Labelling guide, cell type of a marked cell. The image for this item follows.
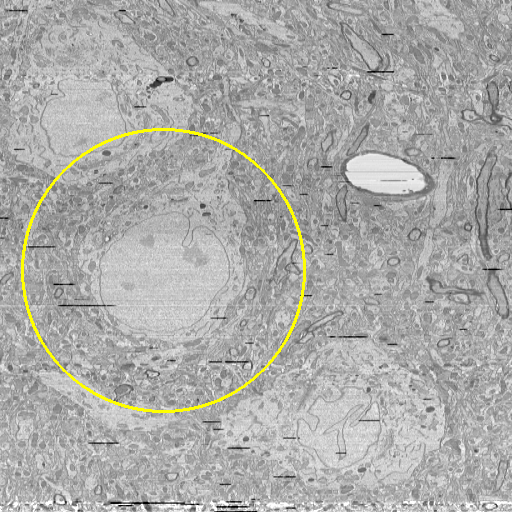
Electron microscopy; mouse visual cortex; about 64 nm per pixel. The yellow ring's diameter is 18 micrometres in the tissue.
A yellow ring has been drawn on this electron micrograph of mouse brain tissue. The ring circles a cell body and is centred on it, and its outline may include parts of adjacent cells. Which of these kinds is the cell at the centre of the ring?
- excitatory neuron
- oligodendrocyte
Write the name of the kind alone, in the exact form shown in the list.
excitatory neuron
